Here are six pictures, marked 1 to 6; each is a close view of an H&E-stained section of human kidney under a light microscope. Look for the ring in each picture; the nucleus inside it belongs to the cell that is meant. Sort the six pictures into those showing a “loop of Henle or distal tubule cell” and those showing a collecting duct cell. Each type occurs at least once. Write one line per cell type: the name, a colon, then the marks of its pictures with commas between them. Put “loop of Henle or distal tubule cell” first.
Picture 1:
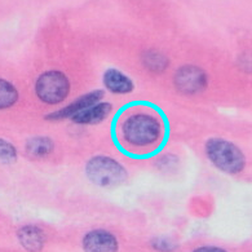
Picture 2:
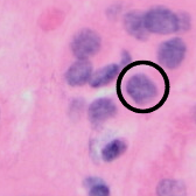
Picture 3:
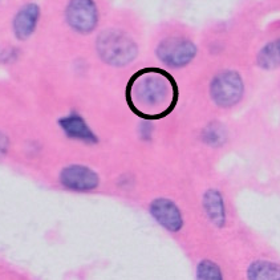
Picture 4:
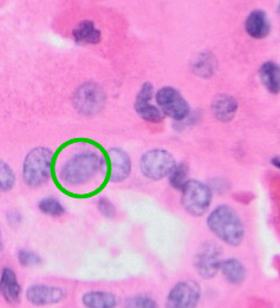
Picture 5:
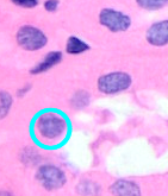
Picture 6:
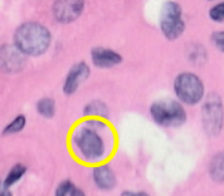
loop of Henle or distal tubule cell: 1, 3, 5
collecting duct cell: 2, 4, 6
